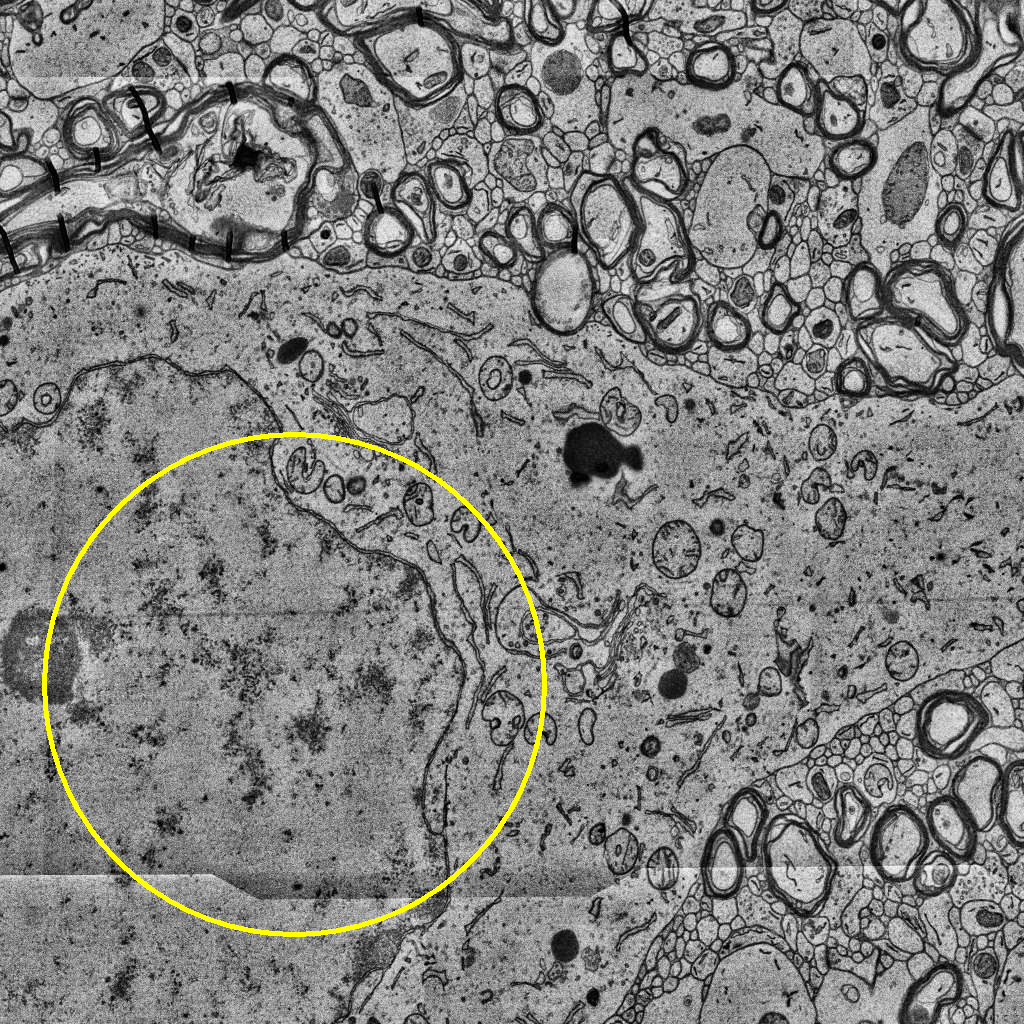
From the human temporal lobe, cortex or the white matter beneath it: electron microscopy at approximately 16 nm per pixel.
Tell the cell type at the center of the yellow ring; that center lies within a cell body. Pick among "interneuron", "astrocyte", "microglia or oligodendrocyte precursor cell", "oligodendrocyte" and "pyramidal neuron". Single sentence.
The ring's center lies in the body of a pyramidal neuron.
